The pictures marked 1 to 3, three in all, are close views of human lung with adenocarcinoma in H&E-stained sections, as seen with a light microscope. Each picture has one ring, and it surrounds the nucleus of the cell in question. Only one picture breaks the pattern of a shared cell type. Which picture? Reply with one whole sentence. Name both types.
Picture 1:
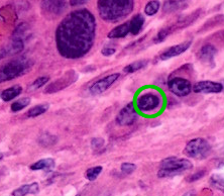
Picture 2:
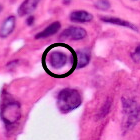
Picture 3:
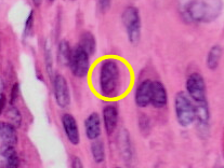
Unlike the rest, which show plasma cells, picture 2 shows a lymphocyte.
